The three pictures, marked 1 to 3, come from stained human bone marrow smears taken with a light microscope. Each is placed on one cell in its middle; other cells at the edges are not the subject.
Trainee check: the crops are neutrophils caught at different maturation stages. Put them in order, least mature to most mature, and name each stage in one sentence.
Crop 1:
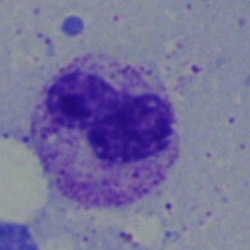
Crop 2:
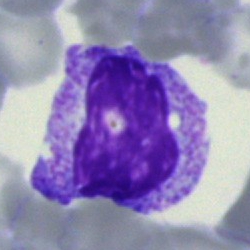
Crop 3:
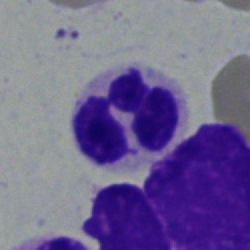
The sequence of maturation runs crop 2 (a myelocyte), crop 1 (a metamyelocyte) and crop 3 (a segmented neutrophil), from least to most mature.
